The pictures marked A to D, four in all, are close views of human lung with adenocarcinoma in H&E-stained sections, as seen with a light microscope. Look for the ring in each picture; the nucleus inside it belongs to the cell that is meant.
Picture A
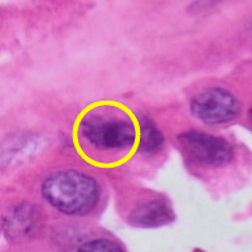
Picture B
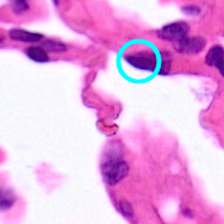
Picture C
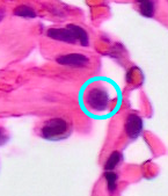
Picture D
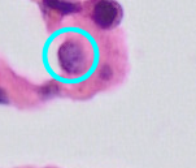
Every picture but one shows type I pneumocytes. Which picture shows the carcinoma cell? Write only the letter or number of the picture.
A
